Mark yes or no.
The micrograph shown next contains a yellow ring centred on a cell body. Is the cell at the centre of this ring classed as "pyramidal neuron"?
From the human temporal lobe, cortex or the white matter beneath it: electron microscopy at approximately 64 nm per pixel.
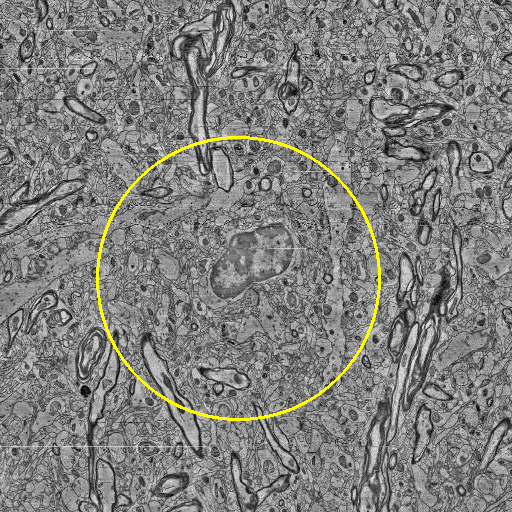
no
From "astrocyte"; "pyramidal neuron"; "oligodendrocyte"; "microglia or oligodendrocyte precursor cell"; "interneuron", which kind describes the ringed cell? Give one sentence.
The cell marked by the ring is a microglial cell or oligodendrocyte precursor cell.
